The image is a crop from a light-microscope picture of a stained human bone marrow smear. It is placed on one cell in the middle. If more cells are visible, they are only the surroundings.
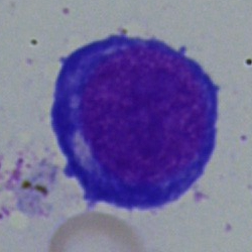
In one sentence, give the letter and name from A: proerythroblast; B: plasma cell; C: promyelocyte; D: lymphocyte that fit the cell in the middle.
Identification: the cell in the middle is a proerythroblast, matching option A.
